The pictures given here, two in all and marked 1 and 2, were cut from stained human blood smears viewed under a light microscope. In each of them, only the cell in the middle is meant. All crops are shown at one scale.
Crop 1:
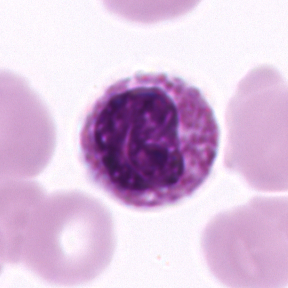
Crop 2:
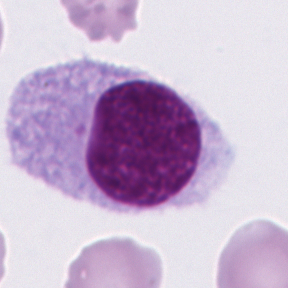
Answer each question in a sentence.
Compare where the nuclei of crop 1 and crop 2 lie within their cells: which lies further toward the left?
The nucleus in crop 1 lies further toward the left of its cell.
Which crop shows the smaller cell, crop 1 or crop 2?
Smaller is the cell in crop 1, and the other is about 2 times as large in area.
